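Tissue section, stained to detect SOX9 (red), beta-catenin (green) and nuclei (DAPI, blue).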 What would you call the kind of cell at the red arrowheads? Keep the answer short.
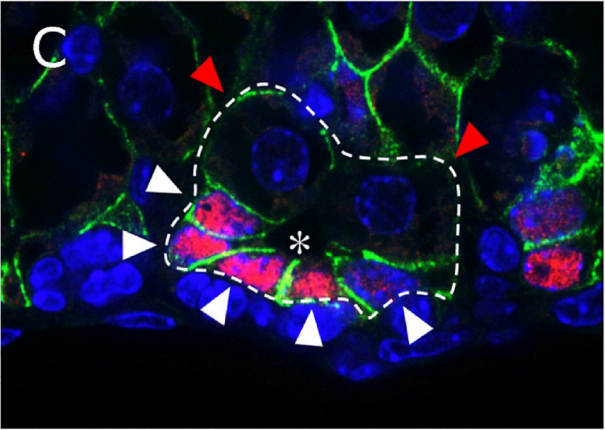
Hepatoblasts.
